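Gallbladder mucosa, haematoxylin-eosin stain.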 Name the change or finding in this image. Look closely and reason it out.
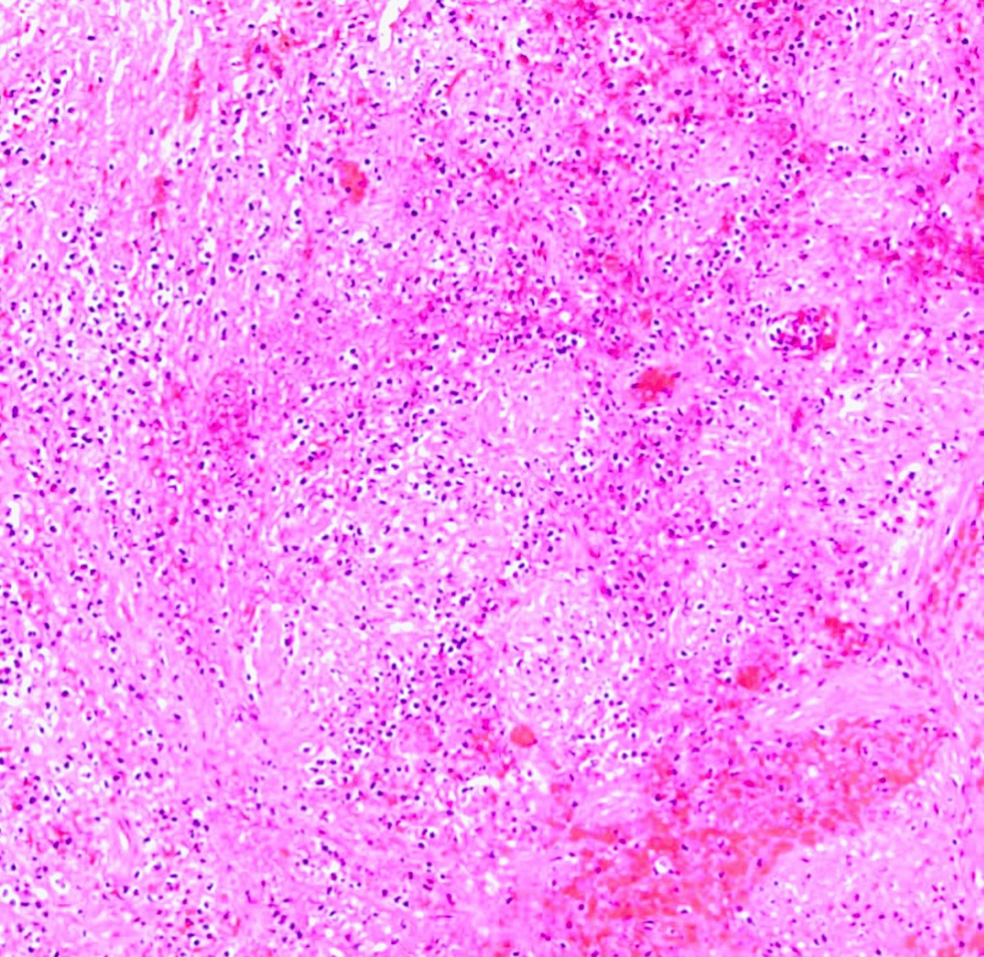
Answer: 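Broad areas of pale pink, amorphous to finely fibrillar material fill much of the field. Inflammatory cells with small dark nuclei are scattered through this pink material. Patches of bright red extravasated blood lie within the material. On this evidence: fibrinous, inflammatory exudates.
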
